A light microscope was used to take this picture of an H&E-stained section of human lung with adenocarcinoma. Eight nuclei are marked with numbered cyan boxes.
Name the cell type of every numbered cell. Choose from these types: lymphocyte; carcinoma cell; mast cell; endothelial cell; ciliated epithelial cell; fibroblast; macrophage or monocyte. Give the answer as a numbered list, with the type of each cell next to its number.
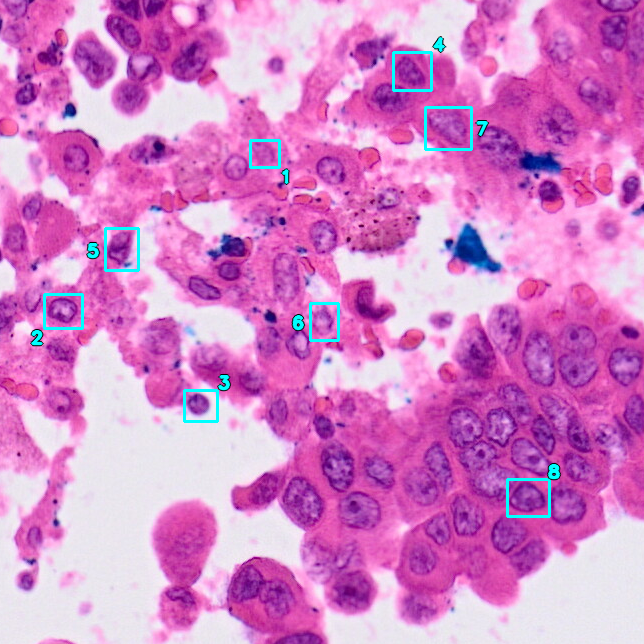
1. macrophage or monocyte
2. macrophage or monocyte
3. lymphocyte
4. carcinoma cell
5. macrophage or monocyte
6. macrophage or monocyte
7. carcinoma cell
8. carcinoma cell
